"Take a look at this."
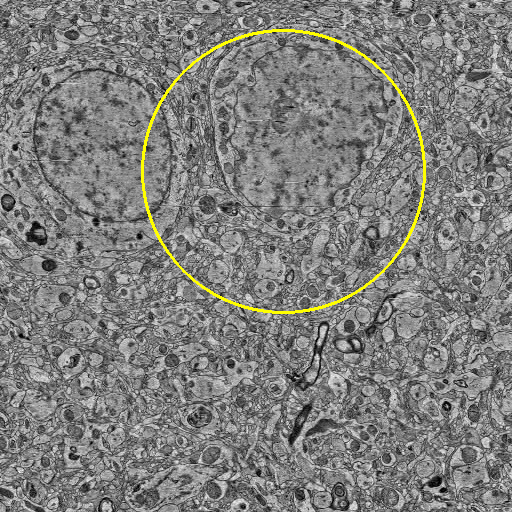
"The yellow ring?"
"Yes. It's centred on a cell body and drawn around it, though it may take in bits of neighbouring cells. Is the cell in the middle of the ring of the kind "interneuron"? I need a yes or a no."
Yes, it is of the kind asked about.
